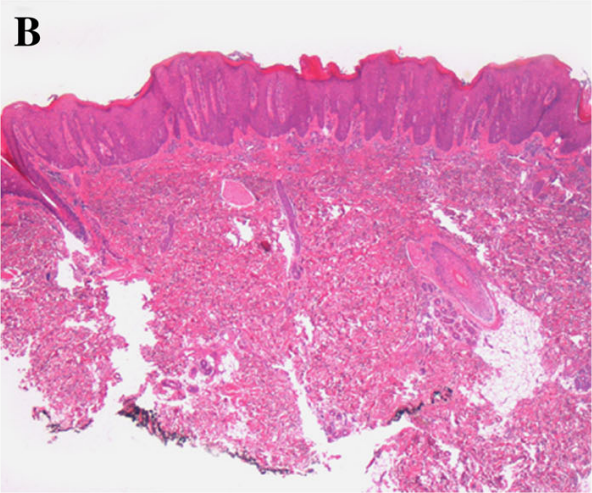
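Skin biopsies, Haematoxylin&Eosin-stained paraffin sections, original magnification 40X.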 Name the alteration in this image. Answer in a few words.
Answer: Marked elongation of rete ridges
